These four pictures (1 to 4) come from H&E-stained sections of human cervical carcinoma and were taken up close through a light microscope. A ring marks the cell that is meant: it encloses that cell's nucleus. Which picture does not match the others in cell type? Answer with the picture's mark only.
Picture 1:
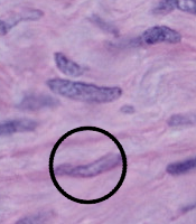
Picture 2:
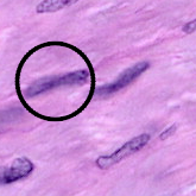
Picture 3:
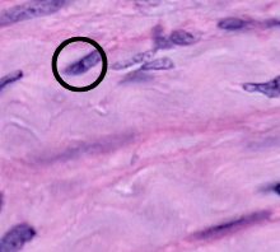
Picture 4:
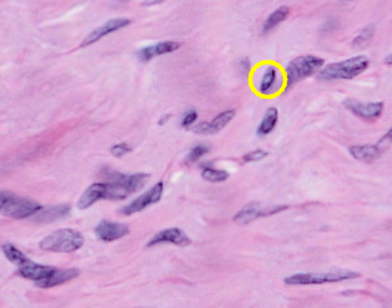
1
